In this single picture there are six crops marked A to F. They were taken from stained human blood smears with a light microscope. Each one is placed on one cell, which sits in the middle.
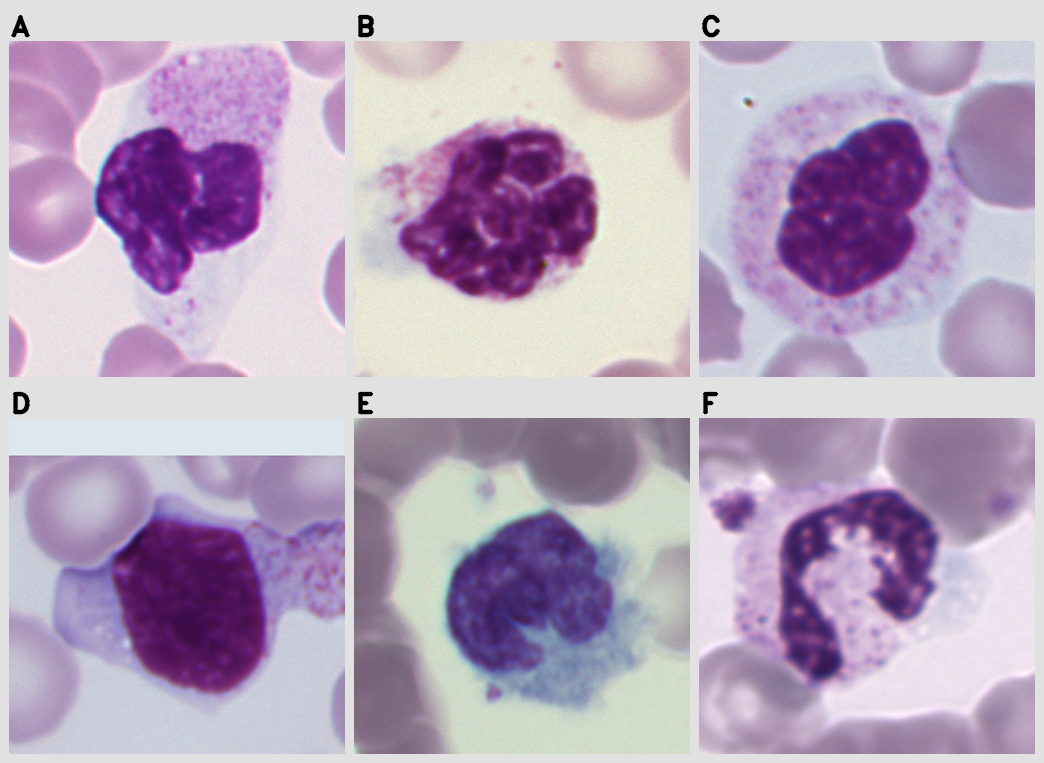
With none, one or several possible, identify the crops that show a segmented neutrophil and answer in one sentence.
Crops A, B, C and F display segmented neutrophils in the centre of the field.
